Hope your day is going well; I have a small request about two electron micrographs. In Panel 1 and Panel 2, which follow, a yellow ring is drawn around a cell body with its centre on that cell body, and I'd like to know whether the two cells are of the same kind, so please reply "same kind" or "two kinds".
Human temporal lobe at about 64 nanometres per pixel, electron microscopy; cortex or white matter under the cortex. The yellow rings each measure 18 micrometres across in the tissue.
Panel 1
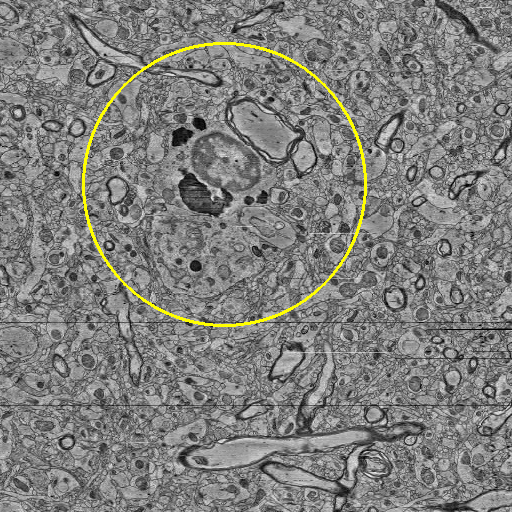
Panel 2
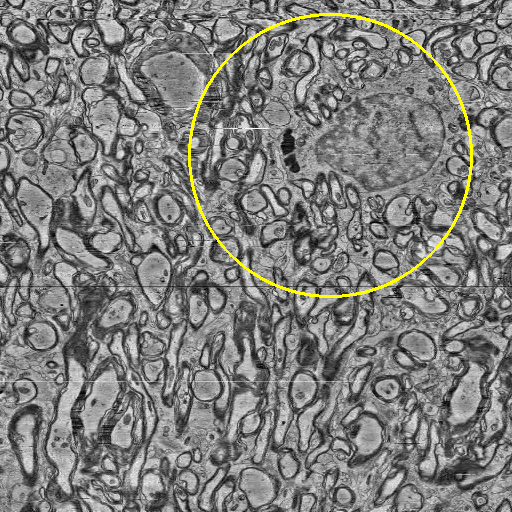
same kind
